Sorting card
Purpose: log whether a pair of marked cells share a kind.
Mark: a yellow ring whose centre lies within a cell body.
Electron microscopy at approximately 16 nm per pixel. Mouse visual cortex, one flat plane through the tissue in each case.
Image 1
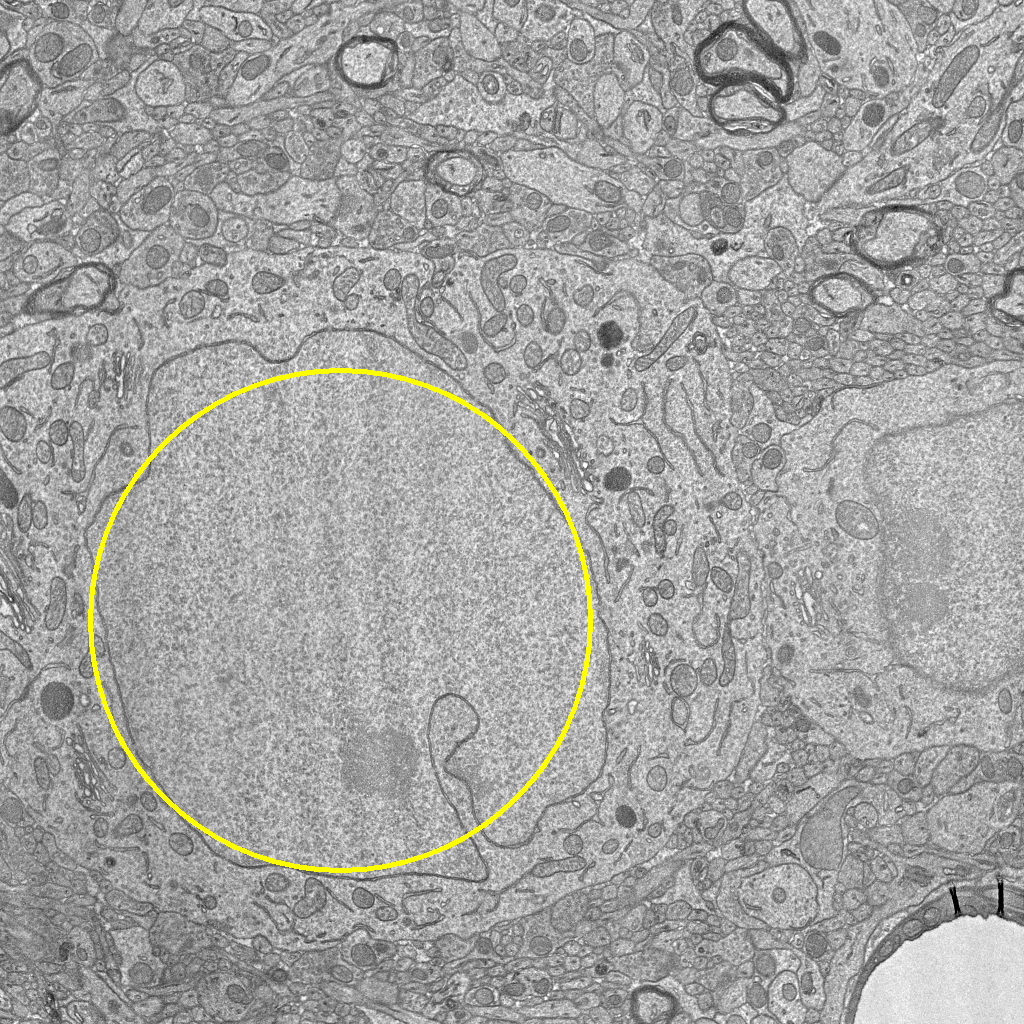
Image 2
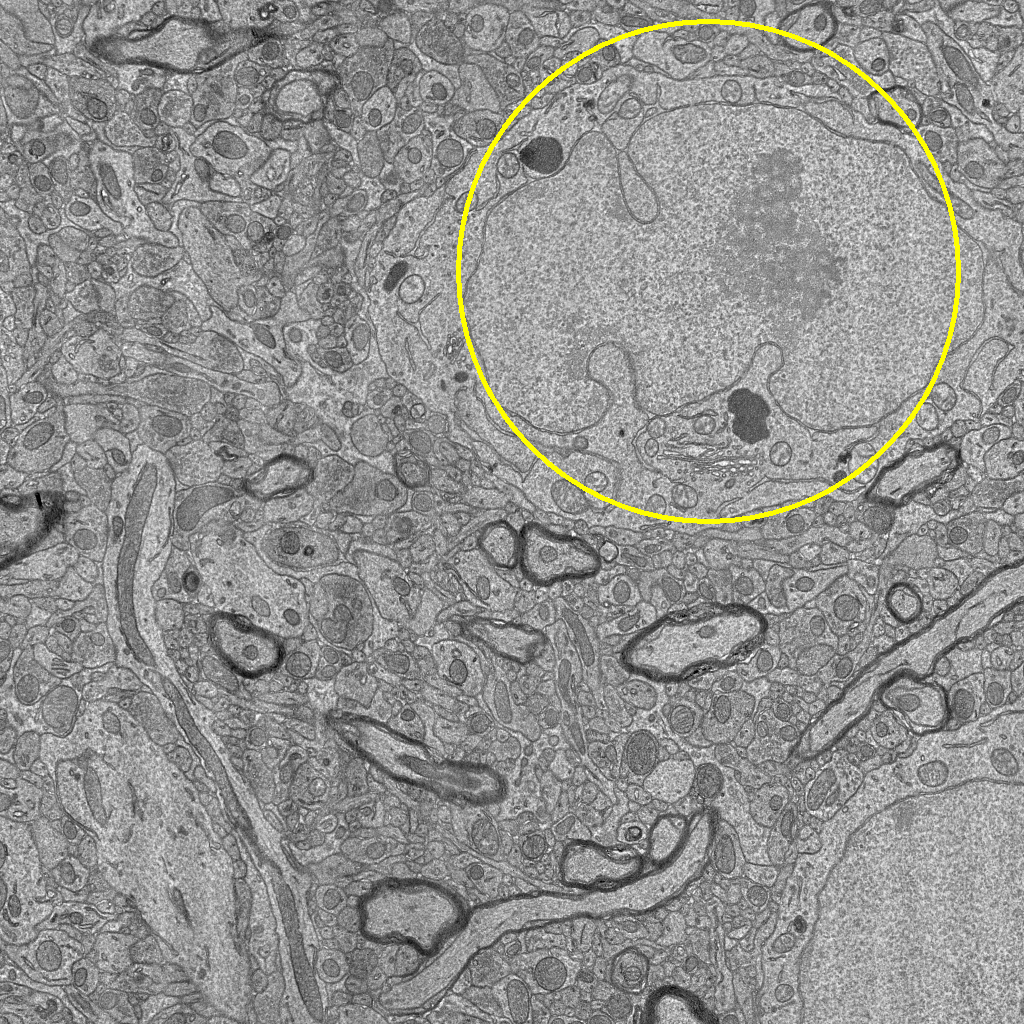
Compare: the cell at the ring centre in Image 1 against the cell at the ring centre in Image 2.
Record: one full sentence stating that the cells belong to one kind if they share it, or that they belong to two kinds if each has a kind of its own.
Across Images 1 and 2, the two cells at the ring centres belong to one kind.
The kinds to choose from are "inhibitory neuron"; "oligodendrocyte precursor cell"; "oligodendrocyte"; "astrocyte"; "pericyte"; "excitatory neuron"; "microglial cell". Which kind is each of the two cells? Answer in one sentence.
The second cell is an inhibitory neuron, just as the first is.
